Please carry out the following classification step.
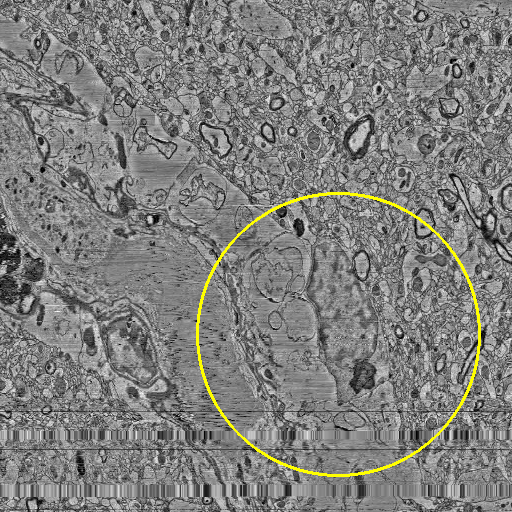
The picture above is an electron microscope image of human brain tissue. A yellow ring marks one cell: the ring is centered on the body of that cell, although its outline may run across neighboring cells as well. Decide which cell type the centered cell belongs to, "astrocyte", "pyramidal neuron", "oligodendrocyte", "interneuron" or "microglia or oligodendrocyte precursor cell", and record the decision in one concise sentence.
The cell centered in the yellow ring is an oligodendrocyte.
